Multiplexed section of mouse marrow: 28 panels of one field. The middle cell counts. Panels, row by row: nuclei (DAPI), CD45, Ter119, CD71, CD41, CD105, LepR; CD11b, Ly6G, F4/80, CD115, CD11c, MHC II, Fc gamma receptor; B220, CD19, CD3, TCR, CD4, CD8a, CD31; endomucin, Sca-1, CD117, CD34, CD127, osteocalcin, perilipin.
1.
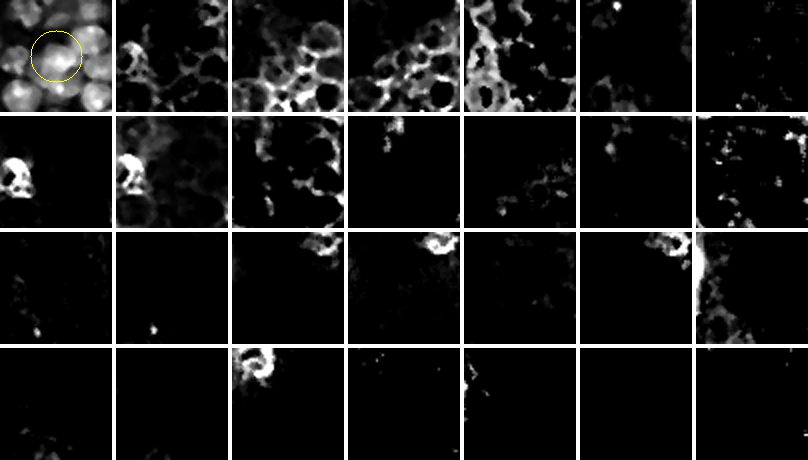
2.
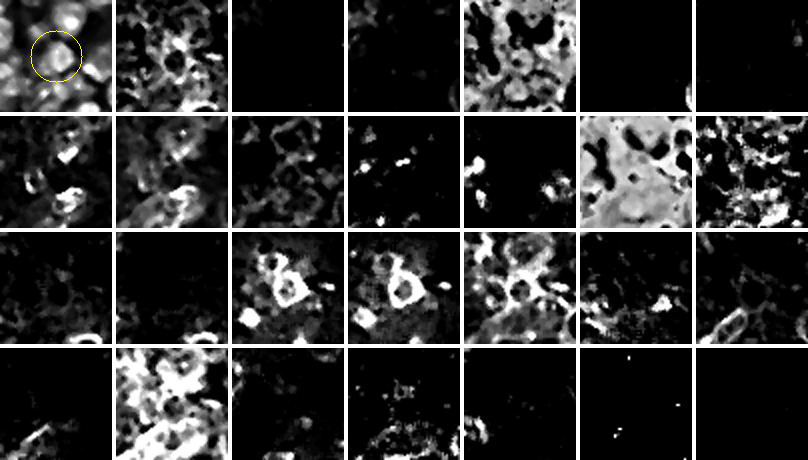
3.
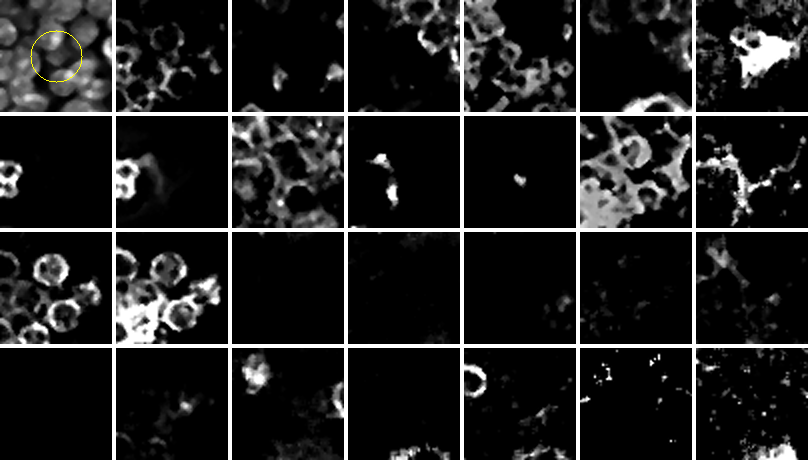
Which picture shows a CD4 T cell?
Picture 2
